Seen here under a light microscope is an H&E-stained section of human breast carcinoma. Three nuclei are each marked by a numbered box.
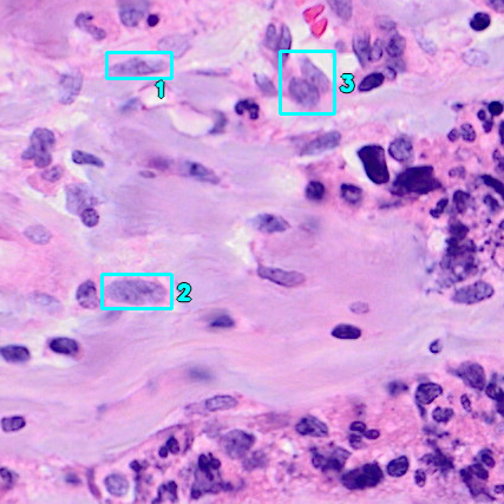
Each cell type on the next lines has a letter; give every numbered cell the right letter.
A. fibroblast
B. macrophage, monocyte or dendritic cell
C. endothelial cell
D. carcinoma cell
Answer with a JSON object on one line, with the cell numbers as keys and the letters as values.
{"1": "A", "2": "A", "3": "C"}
